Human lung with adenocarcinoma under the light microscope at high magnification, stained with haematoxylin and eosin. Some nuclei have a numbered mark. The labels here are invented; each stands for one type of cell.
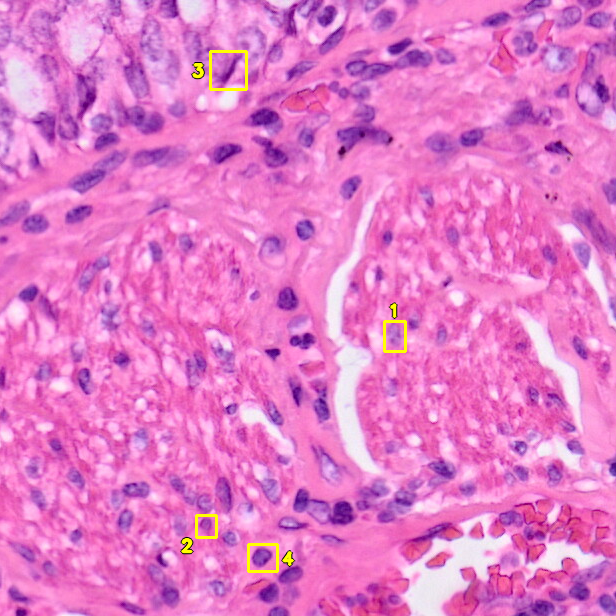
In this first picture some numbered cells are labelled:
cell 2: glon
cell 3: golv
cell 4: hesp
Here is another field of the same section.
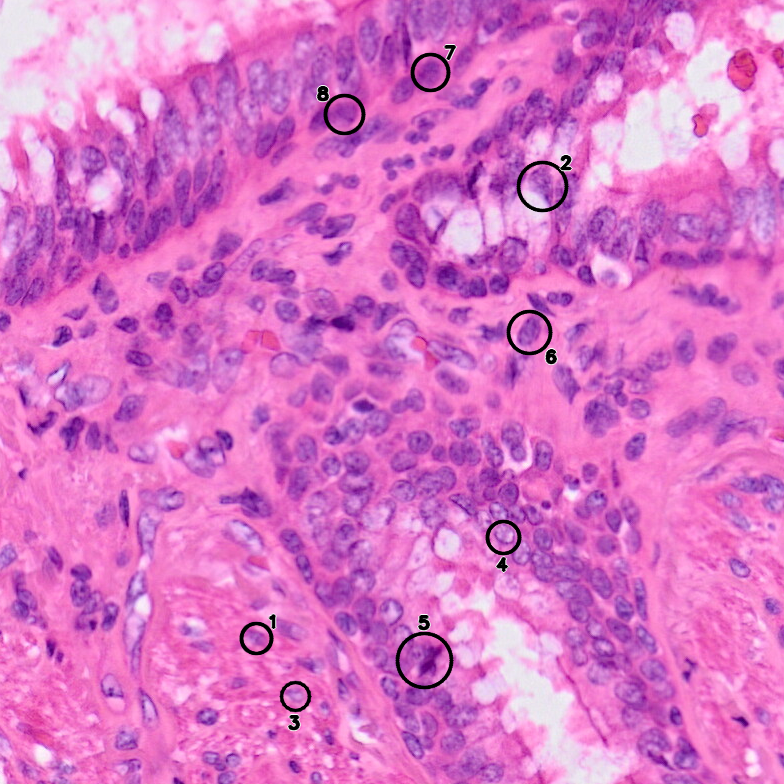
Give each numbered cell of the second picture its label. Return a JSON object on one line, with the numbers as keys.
{"1": "glon", "2": "golv", "3": "glon", "4": "golv", "5": "golv", "6": "hesp", "7": "golv", "8": "golv"}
